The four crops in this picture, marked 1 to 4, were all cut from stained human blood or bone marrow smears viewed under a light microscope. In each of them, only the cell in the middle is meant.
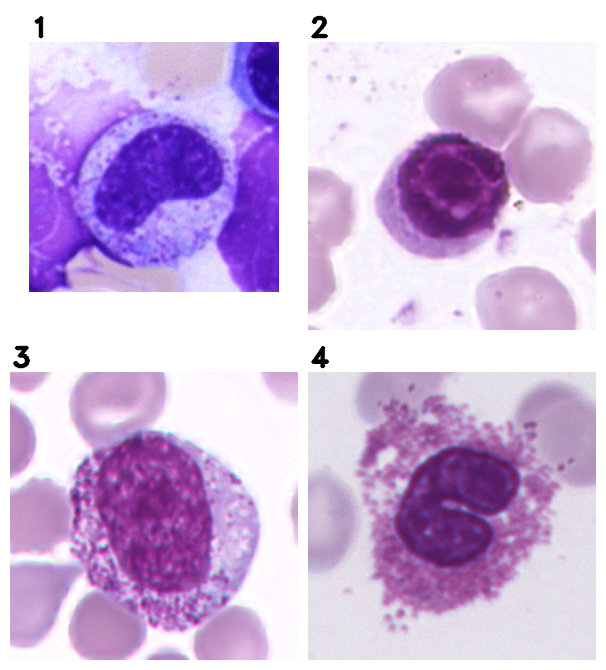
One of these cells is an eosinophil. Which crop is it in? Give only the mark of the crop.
4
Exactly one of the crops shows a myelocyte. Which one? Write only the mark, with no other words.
3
